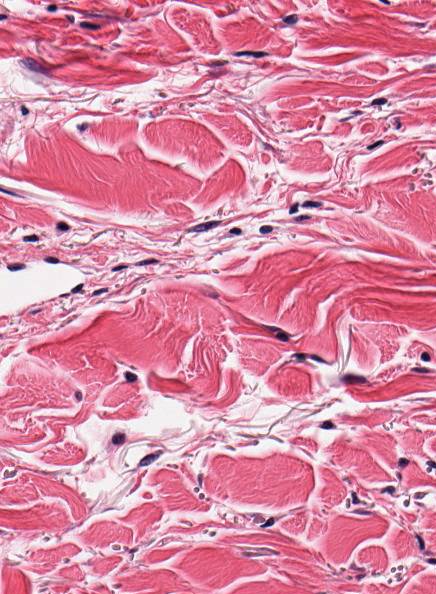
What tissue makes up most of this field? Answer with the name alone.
dermis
